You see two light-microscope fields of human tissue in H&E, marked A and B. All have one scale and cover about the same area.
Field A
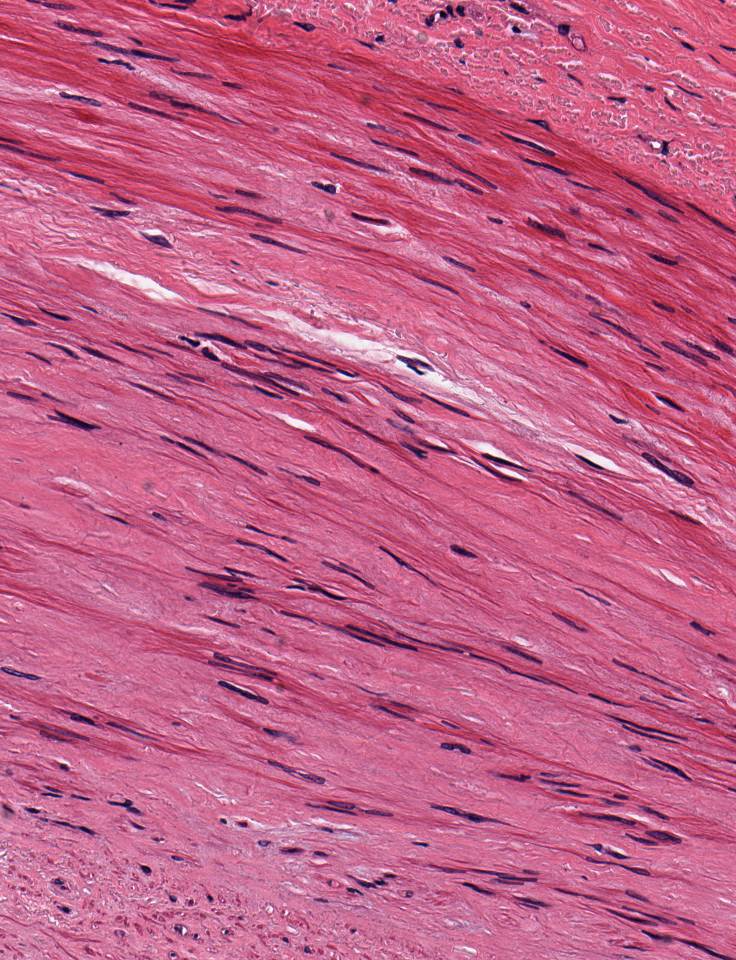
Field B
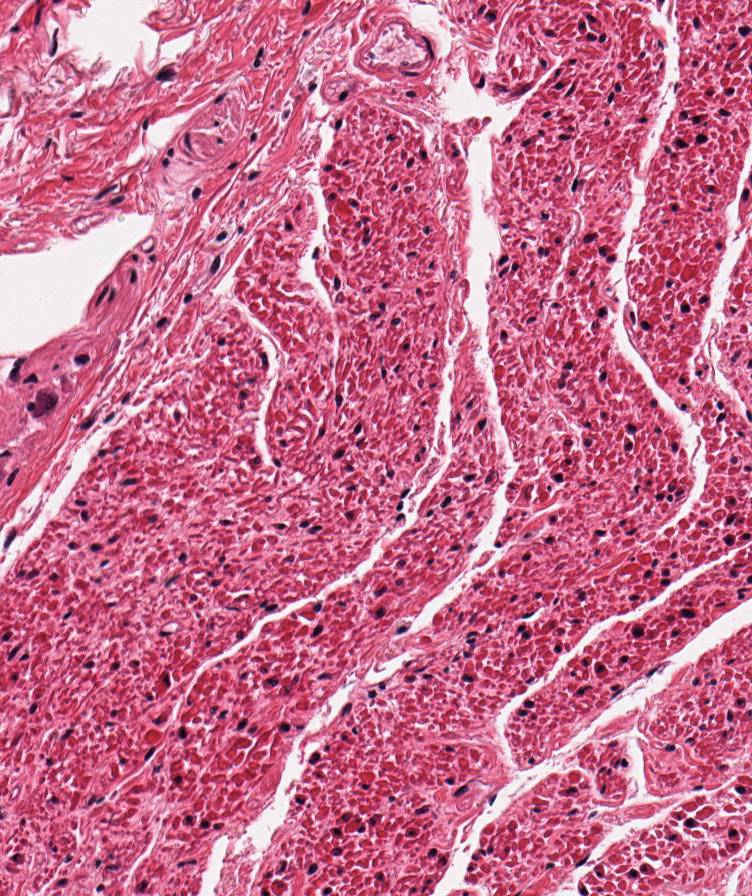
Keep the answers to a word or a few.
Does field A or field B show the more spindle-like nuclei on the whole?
A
